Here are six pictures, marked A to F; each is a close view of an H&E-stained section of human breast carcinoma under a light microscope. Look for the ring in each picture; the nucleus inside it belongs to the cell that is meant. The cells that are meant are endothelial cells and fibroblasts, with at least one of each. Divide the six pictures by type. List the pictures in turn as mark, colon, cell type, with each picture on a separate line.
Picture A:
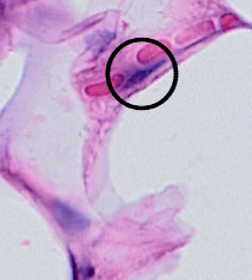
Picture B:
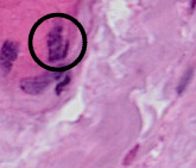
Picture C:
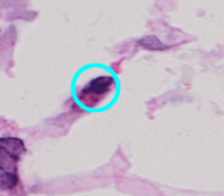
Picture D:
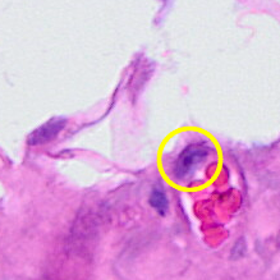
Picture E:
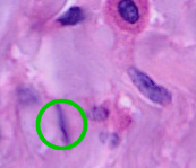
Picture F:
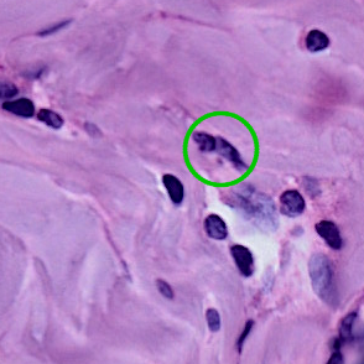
A: endothelial cell
B: endothelial cell
C: endothelial cell
D: endothelial cell
E: fibroblast
F: fibroblast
